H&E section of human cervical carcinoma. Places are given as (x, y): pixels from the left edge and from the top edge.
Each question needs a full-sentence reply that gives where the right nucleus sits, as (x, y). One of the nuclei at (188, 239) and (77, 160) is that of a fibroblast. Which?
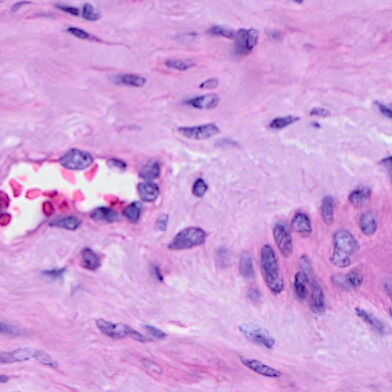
It is at (188, 239) that the nucleus of a fibroblast is found.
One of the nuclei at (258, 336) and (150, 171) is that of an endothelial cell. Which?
The nucleus at (150, 171) is contained in an endothelial cell.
